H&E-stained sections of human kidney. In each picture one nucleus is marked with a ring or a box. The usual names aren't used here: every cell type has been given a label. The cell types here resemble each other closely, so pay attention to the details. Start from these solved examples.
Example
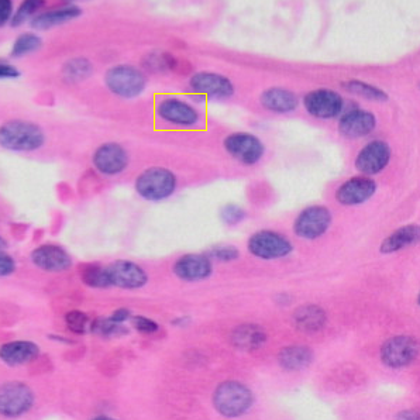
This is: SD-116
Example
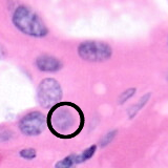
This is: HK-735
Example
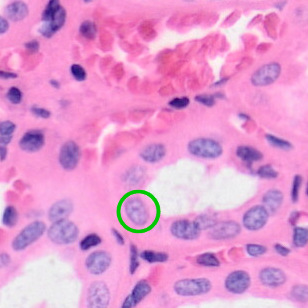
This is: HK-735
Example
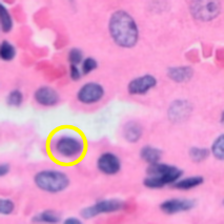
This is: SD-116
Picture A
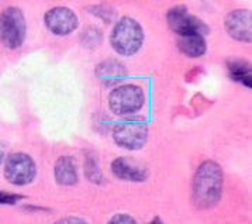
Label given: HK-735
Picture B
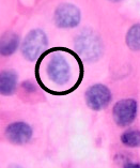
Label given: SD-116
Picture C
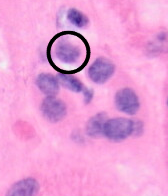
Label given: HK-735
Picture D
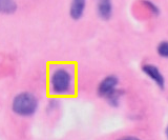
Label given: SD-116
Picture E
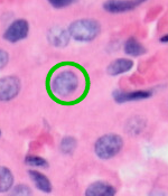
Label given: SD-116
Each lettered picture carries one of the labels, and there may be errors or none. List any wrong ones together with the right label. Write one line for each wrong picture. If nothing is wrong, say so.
B: HK-735, not SD-116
